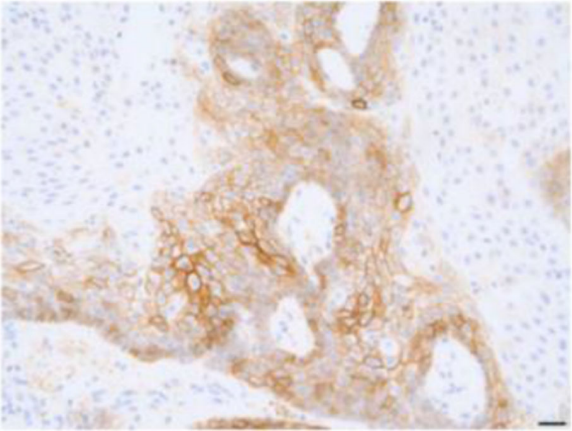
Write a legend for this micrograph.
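This is tumor tissue in which irregular nests of tumor cells are set in a paler stroma. Within the nests, brown stain sharply outlines the membranes of many cells, giving a net-like pattern, with fainter brown in the cytoplasm. The nuclei are counterstained blue and are rounded to oval. Several clear, rounded spaces lie within the stained nests. The surrounding areas contain cells with blue nuclei and little or no brown stain.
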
